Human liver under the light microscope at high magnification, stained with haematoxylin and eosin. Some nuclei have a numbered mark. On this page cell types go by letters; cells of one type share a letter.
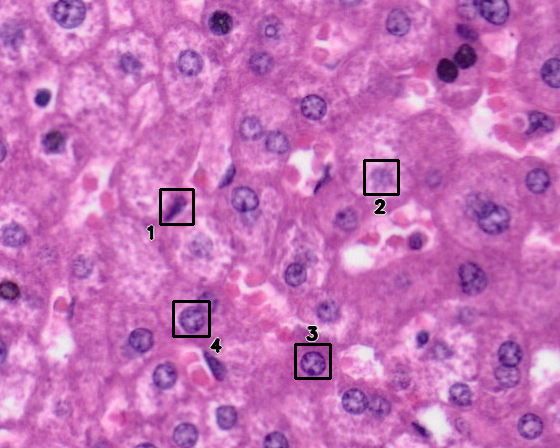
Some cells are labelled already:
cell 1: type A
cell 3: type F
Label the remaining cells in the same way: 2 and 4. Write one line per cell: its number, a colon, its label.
2: type F
4: type F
